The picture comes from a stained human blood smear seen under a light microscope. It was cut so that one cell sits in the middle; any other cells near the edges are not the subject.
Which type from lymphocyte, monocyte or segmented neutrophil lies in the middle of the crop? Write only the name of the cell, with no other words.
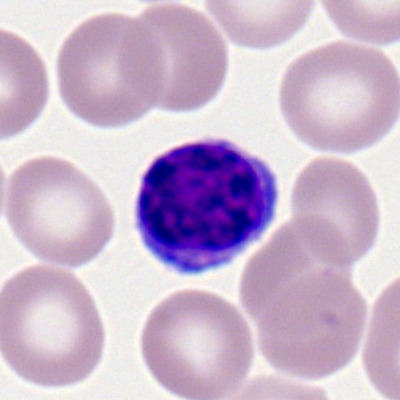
lymphocyte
